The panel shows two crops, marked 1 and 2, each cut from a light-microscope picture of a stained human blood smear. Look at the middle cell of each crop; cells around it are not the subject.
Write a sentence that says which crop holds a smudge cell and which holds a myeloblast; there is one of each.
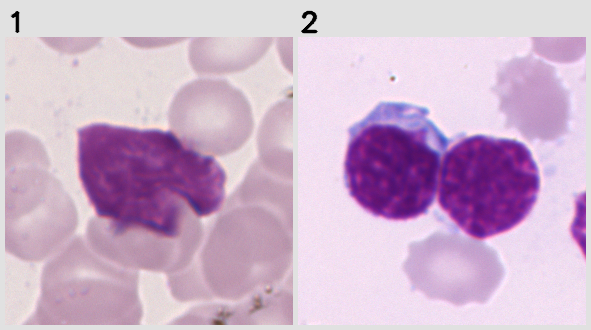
In crop 2 the central cell is a myeloblast, and in crop 1 it is a smudge cell.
